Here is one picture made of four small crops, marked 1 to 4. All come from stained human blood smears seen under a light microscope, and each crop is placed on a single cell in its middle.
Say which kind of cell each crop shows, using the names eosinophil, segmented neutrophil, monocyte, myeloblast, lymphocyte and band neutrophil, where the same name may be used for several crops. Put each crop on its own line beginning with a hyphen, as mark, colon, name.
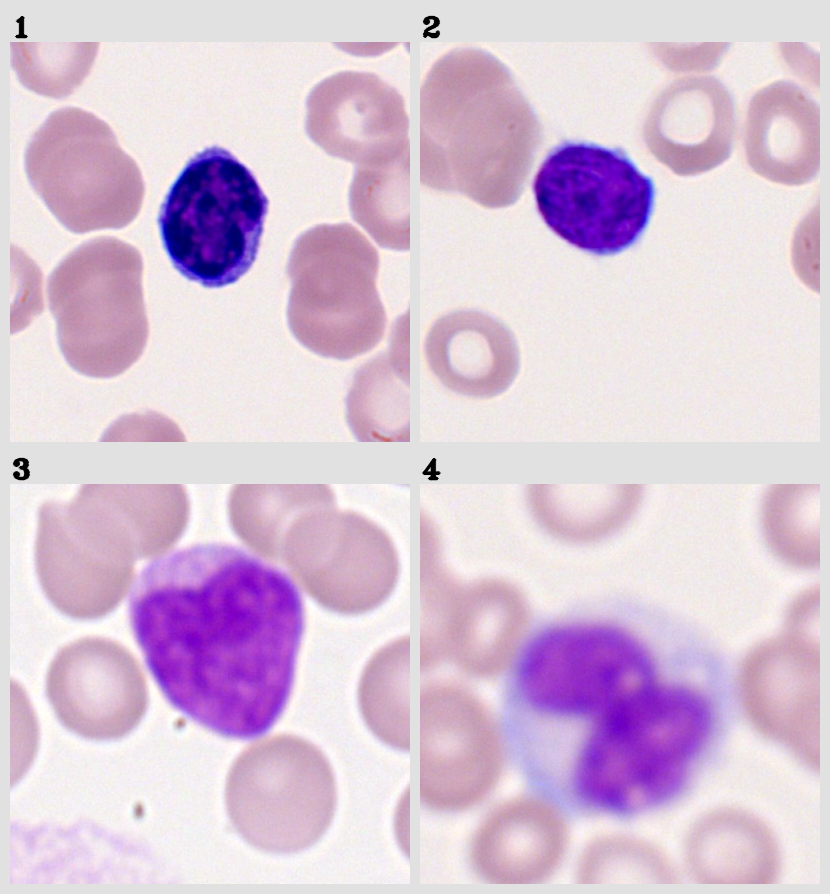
- 1: lymphocyte
- 2: lymphocyte
- 3: myeloblast
- 4: monocyte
